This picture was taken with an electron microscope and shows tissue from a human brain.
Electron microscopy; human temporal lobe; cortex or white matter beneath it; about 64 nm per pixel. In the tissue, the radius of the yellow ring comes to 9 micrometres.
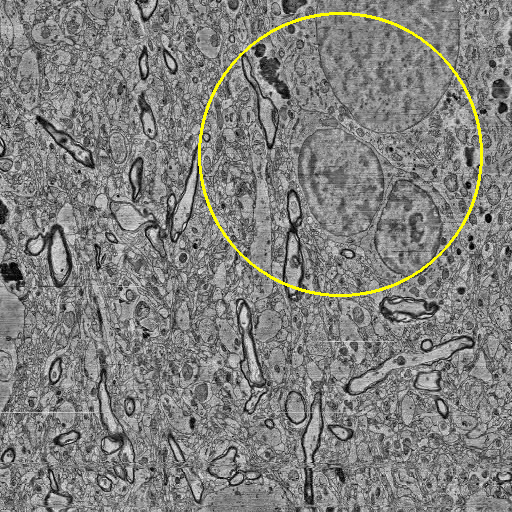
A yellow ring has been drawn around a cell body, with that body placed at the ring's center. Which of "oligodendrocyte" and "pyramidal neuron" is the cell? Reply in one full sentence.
In this picture, an oligodendrocyte is the cell at the center of the yellow ring.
